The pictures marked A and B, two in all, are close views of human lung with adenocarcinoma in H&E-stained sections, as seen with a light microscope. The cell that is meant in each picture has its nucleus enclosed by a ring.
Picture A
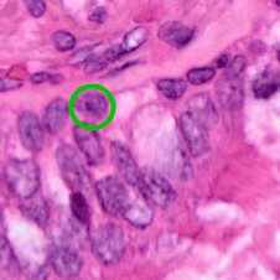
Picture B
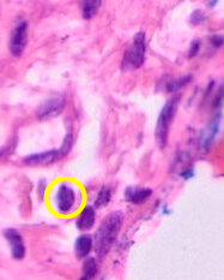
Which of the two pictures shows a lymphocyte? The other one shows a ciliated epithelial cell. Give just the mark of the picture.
B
